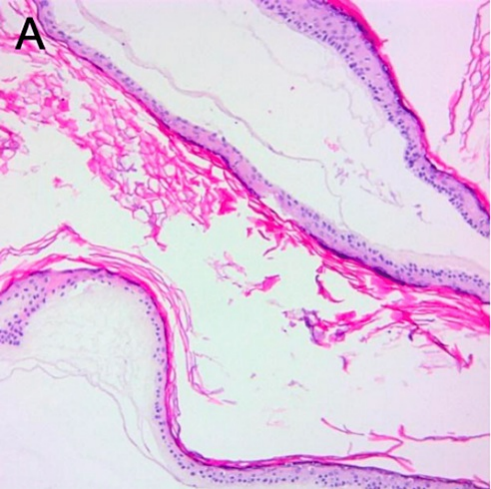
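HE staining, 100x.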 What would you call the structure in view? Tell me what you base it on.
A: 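Pink, loosely layered fibrous material lies in the space bounded by the epithelium. The material has no nuclei.
Lamellar keratin fibers.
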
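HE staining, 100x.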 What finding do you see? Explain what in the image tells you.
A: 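A space is lined by thin stratified squamous epithelium. The space holds laminated pink keratin. That points to this answer: epidermoid cyst.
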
